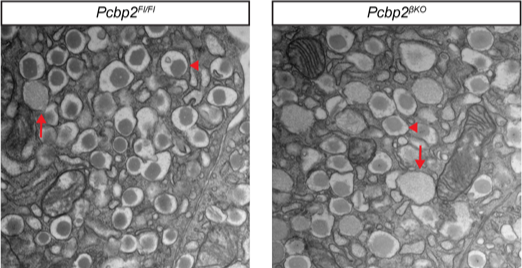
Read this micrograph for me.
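Two side-by-side electron micrographs show the cytoplasm of pancreatic β cells packed with round membrane-bound secretory granules. Many granules have a dense, dark core surrounded by a pale clear halo, the look of mature insulin granules. Others are larger and filled with a more uniform, paler grey material without a distinct core and halo, as expected of immature insulin granules. Scattered among the granules are a few mitochondria with cristae and some membranous profiles of the cytoplasm.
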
